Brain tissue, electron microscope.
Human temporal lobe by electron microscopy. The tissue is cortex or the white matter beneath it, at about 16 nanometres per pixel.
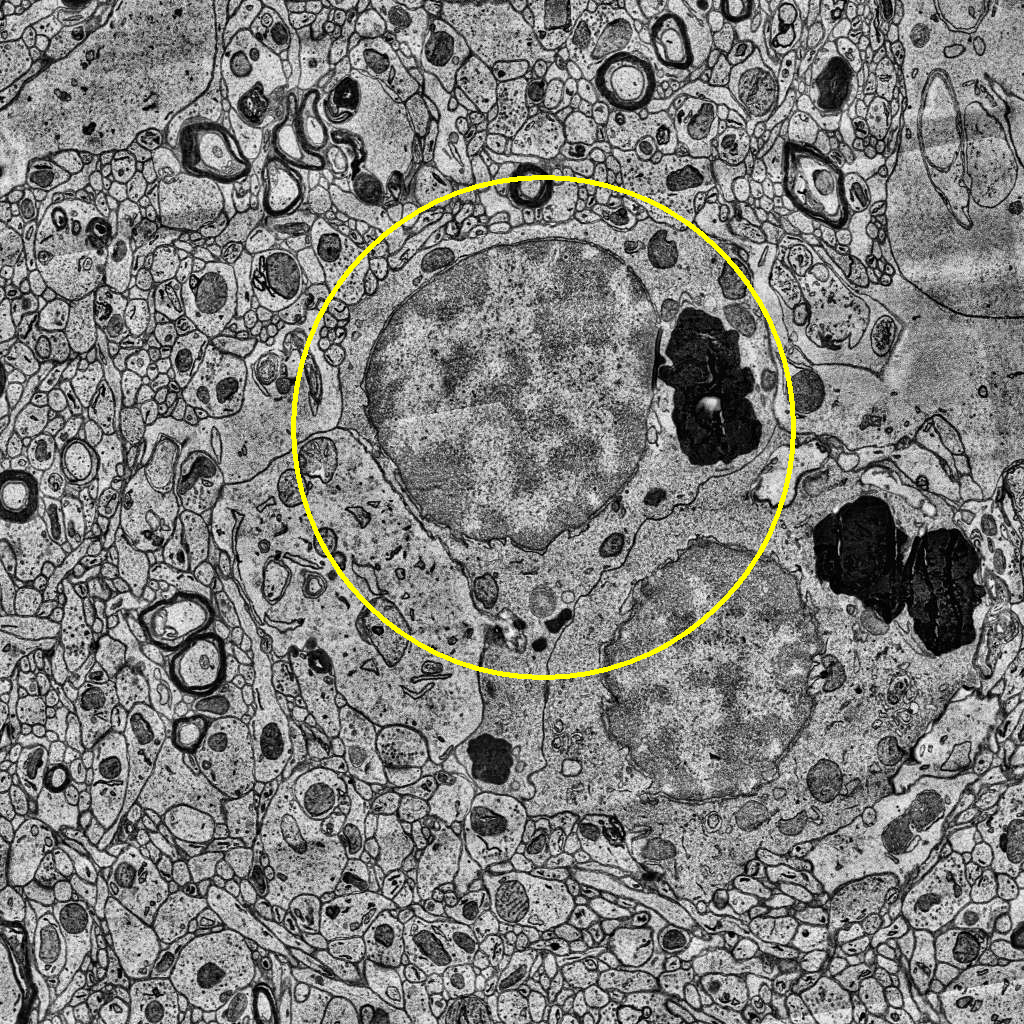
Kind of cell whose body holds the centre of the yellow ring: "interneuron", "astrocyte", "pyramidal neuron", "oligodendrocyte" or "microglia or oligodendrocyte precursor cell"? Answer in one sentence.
The ring's centre falls on an oligodendrocyte.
